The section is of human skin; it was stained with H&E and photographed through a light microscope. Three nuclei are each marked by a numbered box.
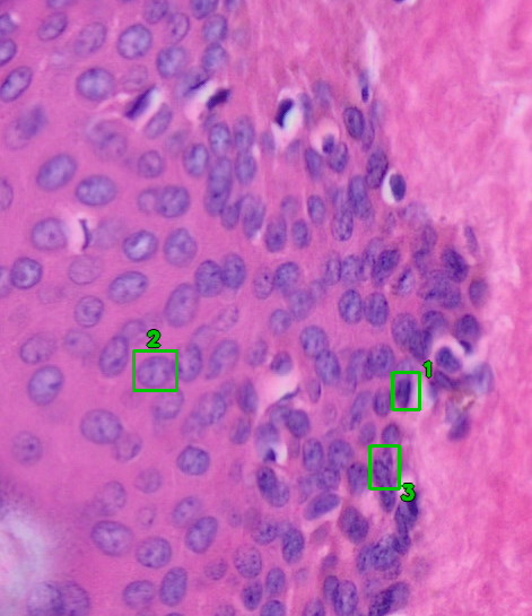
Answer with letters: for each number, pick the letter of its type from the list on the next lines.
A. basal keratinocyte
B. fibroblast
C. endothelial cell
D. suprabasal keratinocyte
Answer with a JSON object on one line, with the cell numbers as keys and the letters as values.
{"1": "A", "2": "D", "3": "A"}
